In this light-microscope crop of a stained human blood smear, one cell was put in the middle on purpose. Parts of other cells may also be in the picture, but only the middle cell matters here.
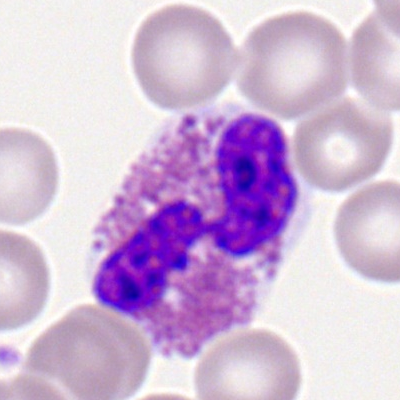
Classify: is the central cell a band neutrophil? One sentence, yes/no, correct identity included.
No, a band neutrophil is not what the central cell is; it is an eosinophil.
